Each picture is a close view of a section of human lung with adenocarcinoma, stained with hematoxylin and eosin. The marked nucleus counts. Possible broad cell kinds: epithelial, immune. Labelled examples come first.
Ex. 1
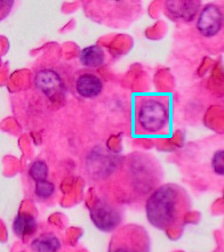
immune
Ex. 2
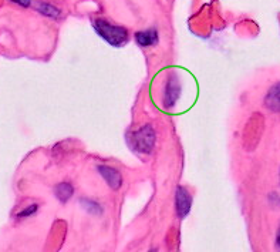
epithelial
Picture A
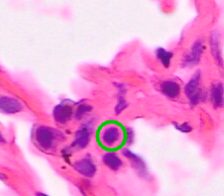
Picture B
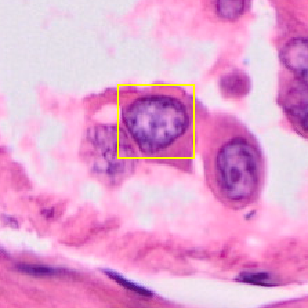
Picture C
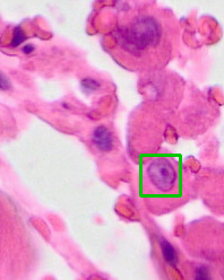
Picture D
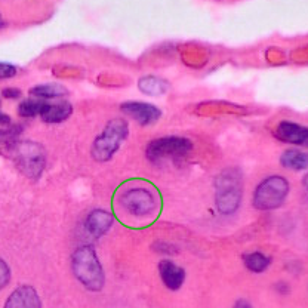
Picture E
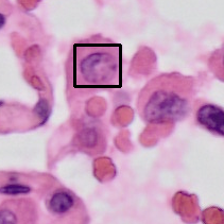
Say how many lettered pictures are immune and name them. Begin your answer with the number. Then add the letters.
4, namely A, C, D, E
